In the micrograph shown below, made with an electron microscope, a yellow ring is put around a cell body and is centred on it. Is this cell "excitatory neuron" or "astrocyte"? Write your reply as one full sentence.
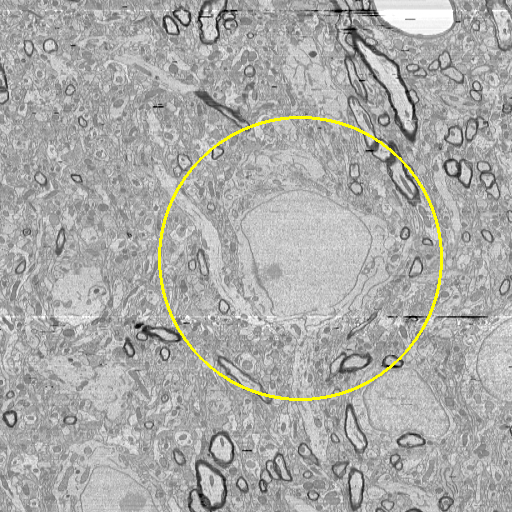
In the micrograph, an excitatory neuron is the cell at the centre of the yellow ring.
